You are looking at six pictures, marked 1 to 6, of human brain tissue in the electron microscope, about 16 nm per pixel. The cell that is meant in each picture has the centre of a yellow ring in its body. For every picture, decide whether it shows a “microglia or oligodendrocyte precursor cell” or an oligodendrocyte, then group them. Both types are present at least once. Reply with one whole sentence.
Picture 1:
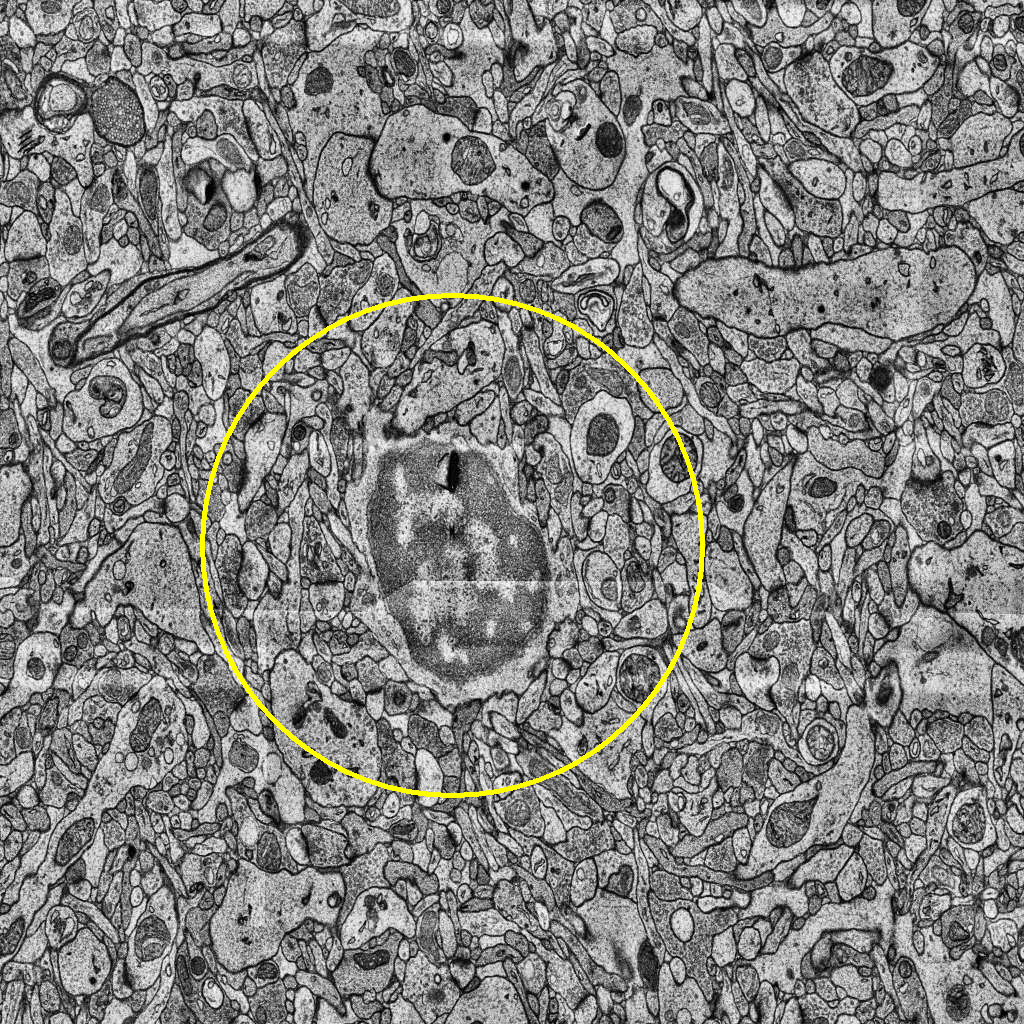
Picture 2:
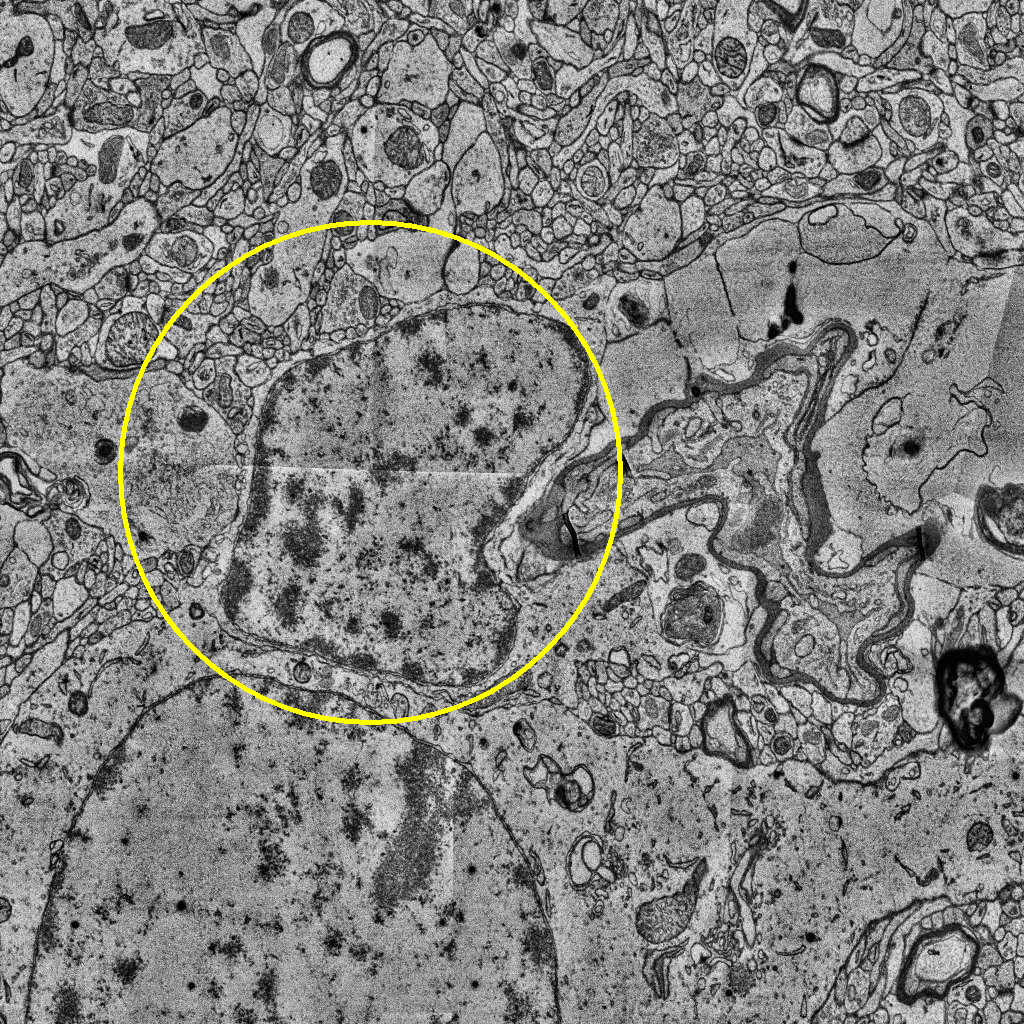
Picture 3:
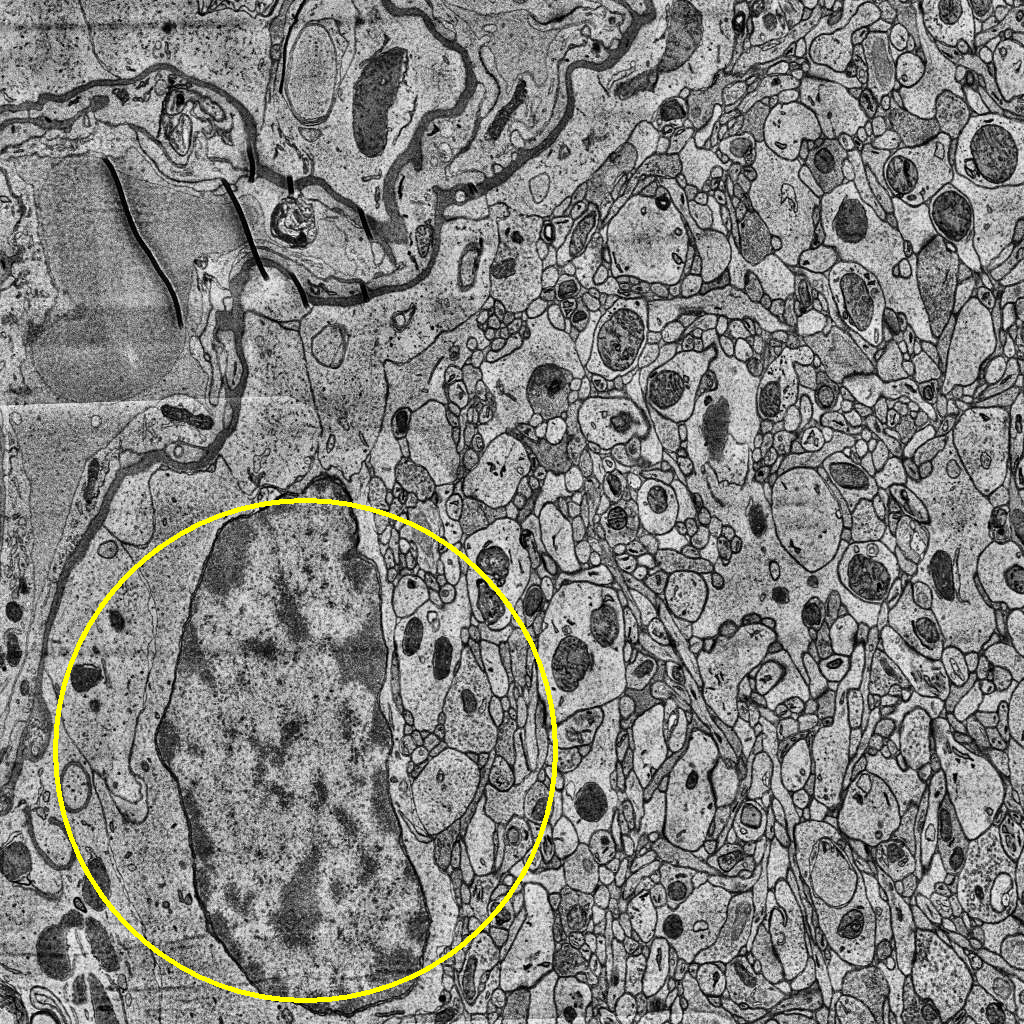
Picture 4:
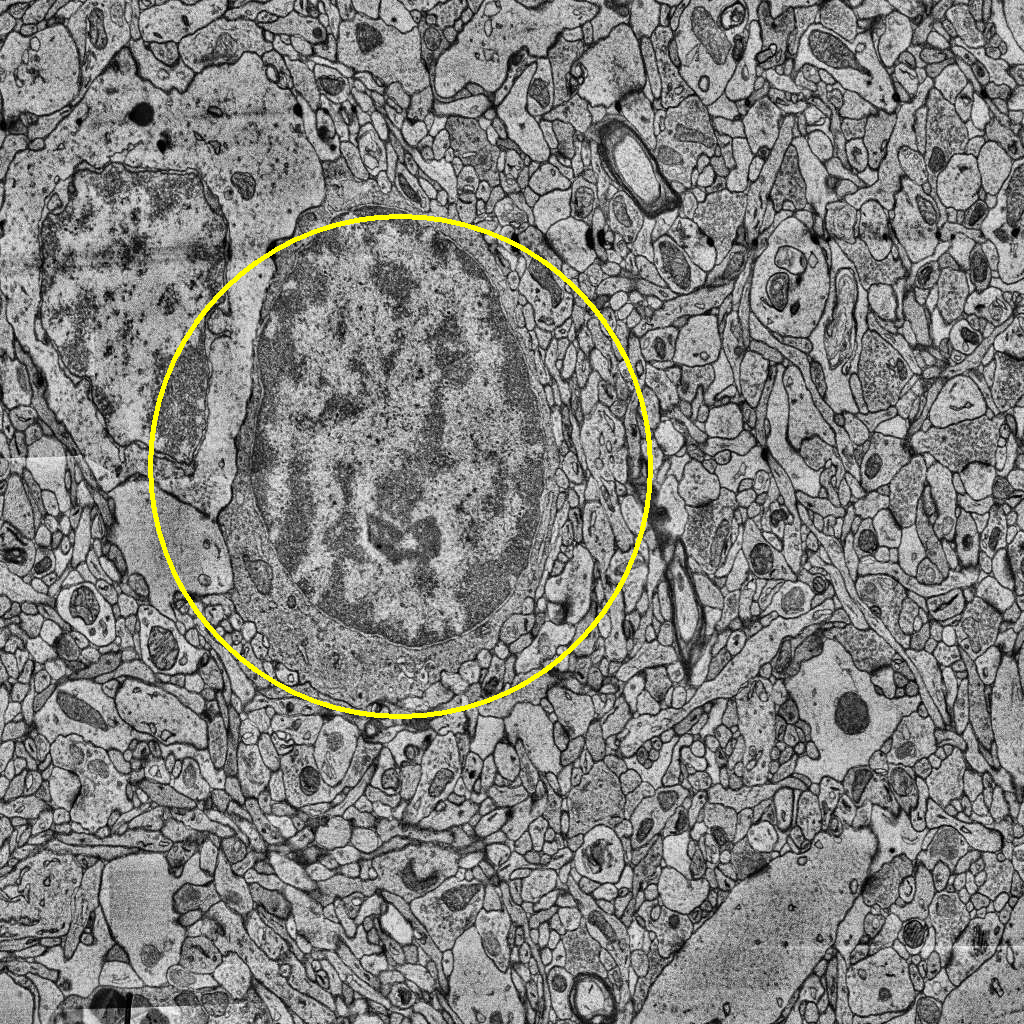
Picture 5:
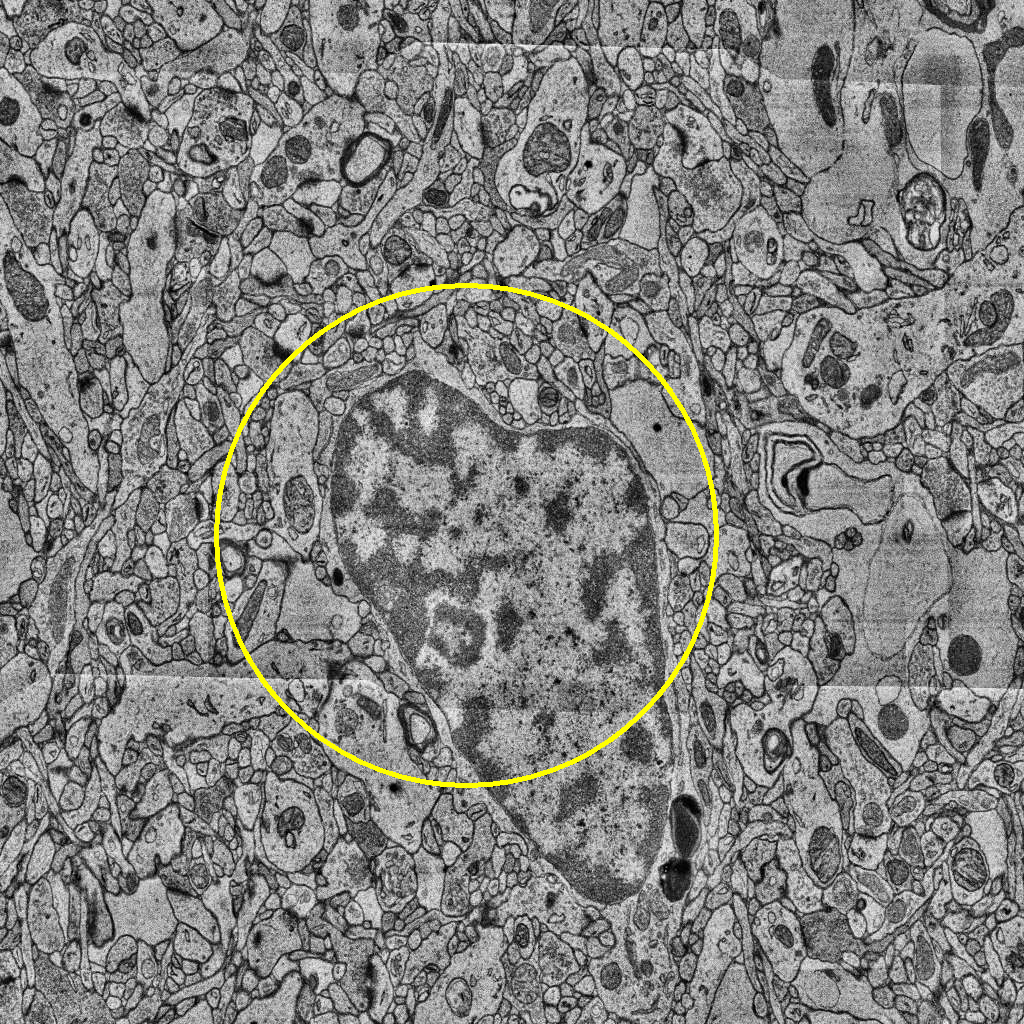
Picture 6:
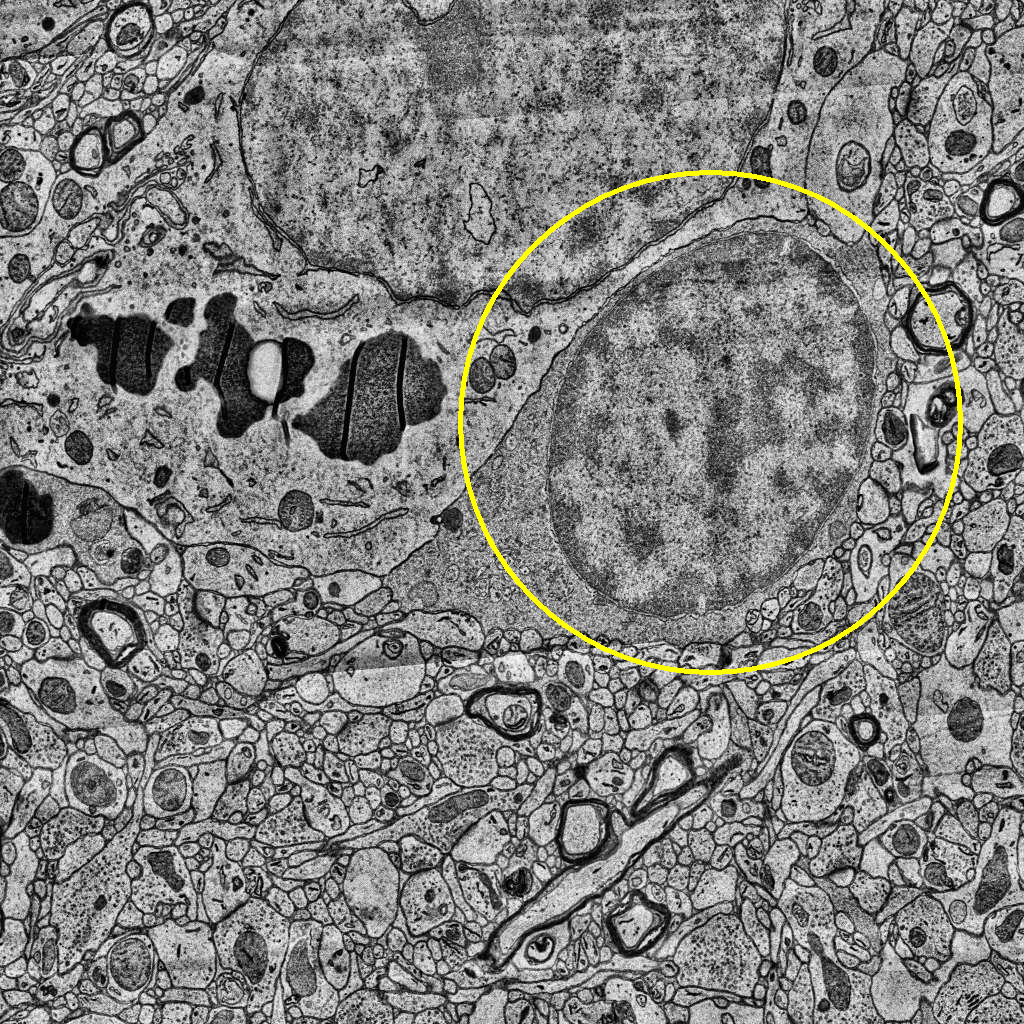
Pictures 1, 2, 3 and 5 show “microglia or oligodendrocyte precursor cells”, and pictures 4 and 6 show oligodendrocytes.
